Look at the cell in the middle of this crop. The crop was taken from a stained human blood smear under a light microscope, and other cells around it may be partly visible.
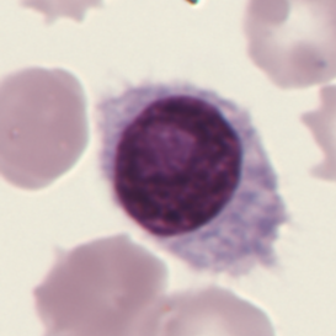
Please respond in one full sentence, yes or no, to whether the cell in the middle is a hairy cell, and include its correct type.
Yes, as for the central cell, it is a hairy cell.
